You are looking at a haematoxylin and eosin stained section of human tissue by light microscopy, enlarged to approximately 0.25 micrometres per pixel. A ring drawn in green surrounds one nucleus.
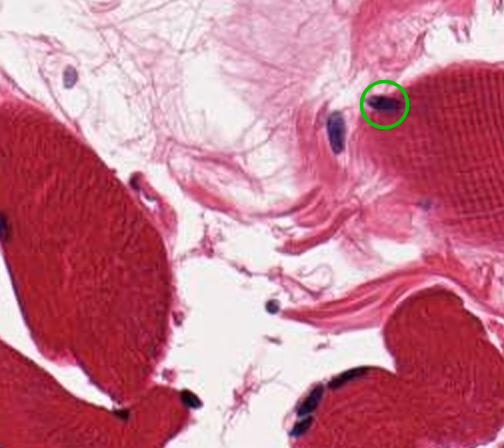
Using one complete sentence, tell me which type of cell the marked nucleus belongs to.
It is to a skeletal muscle fibre that the marked nucleus belongs.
